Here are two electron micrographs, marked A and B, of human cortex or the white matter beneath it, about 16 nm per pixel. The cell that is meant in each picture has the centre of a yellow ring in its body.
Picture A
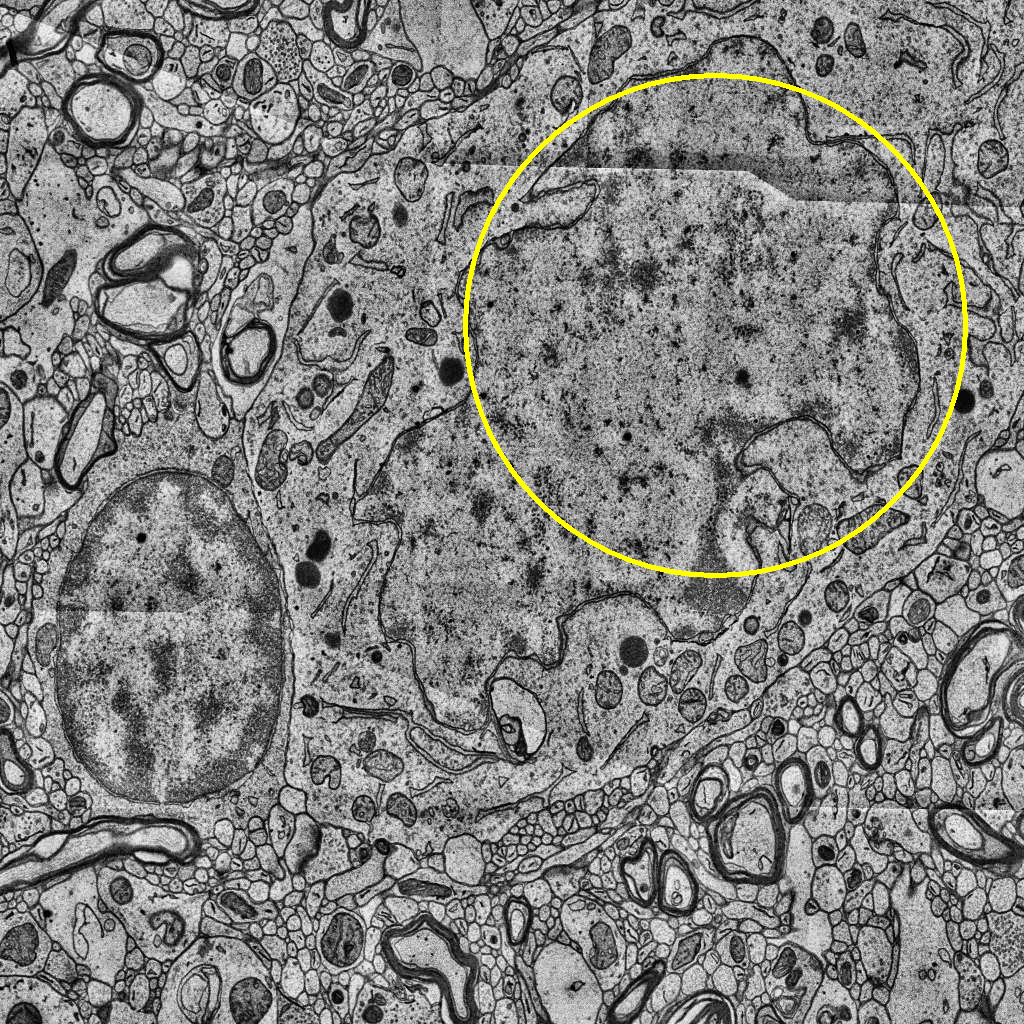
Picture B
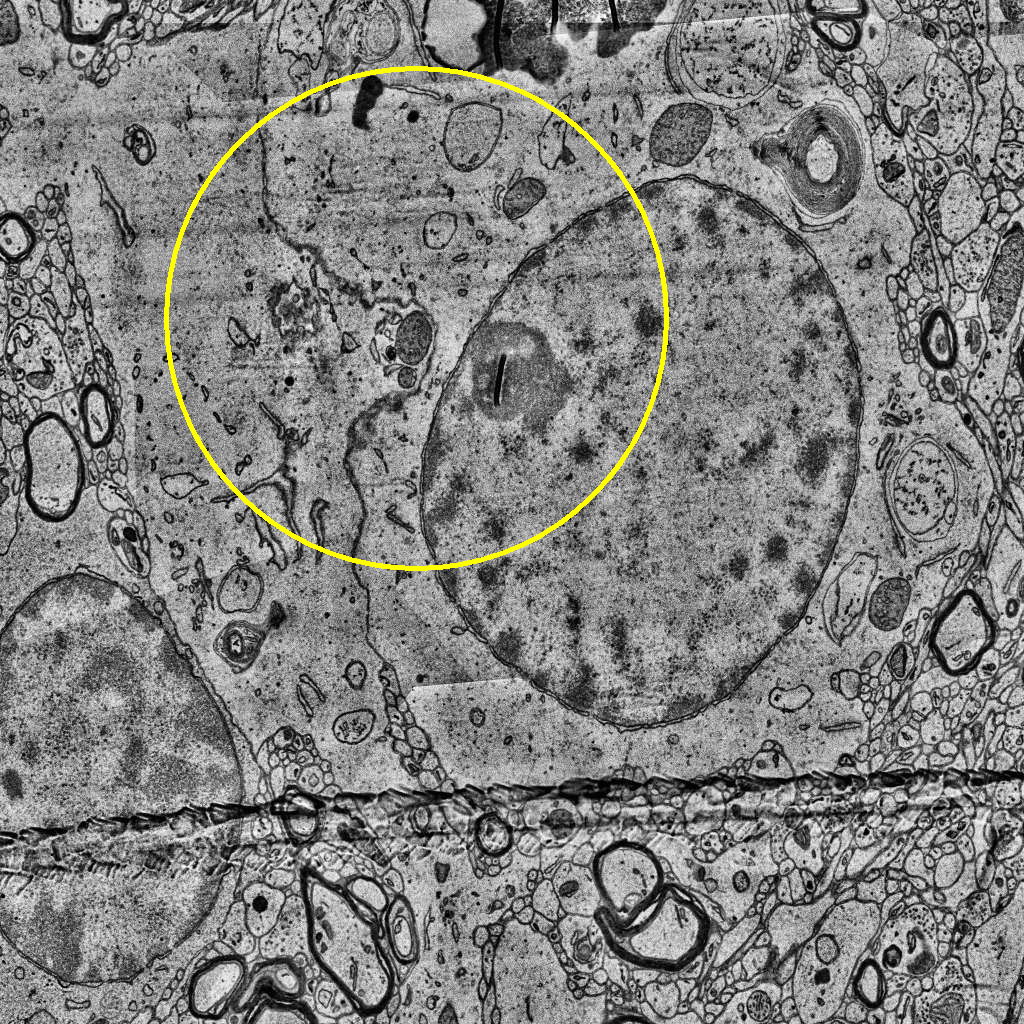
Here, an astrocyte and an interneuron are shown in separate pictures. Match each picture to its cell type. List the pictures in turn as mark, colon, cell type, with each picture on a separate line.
A: interneuron
B: astrocyte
